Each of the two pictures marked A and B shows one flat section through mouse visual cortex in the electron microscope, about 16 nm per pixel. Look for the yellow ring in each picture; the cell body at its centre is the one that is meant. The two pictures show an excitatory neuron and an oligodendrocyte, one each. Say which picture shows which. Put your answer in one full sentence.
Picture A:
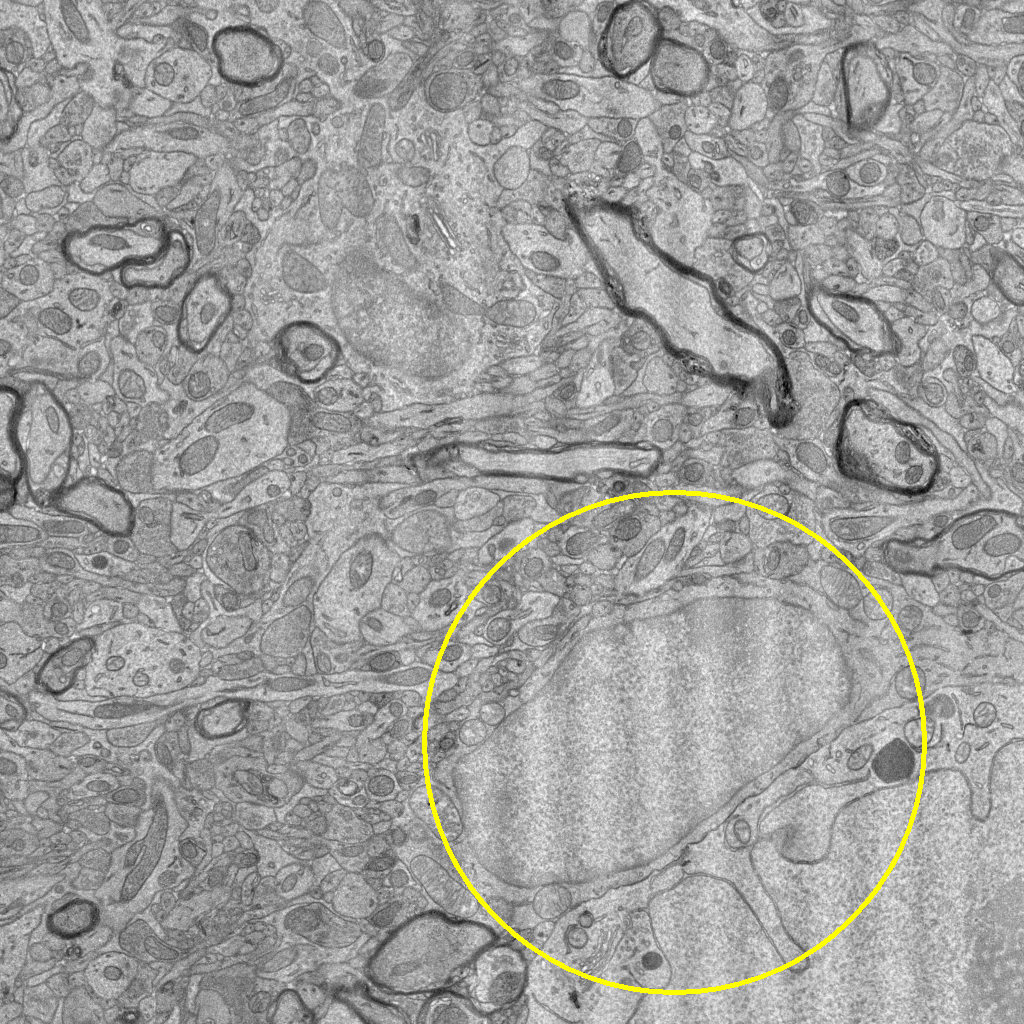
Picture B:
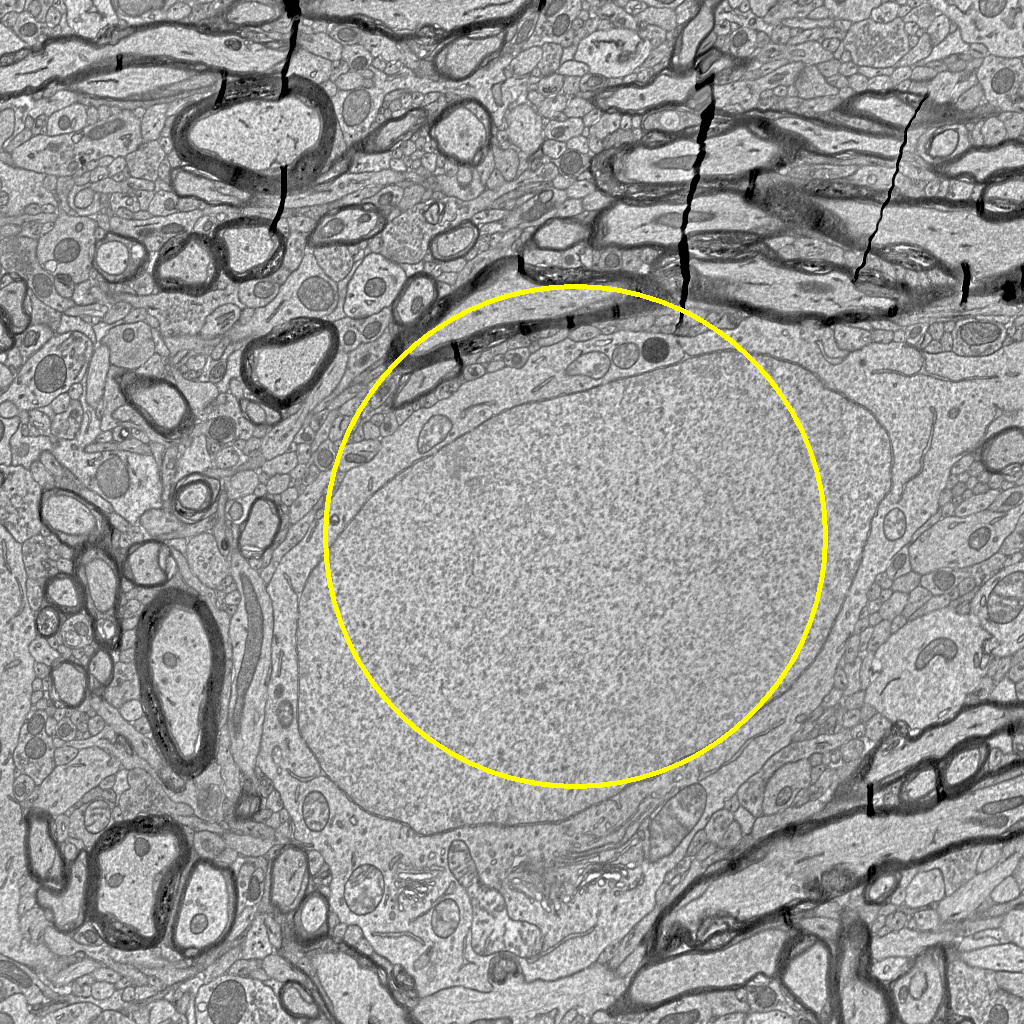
It is picture A that shows an oligodendrocyte, and picture B that shows an excitatory neuron.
